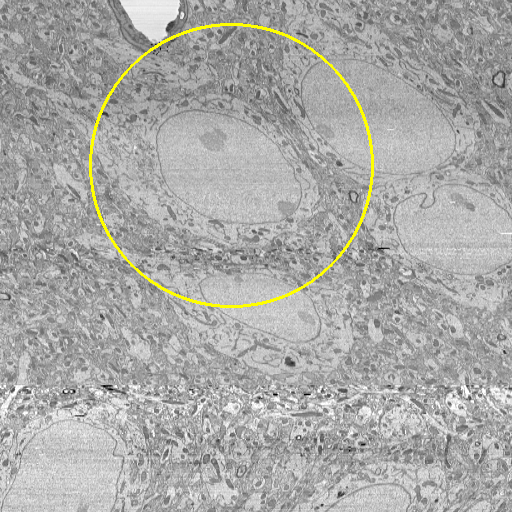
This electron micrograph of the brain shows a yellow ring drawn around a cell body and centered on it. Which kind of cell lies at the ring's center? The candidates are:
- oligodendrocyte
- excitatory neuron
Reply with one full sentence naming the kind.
The cell lying at the ring's center in this micrograph is an excitatory neuron.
